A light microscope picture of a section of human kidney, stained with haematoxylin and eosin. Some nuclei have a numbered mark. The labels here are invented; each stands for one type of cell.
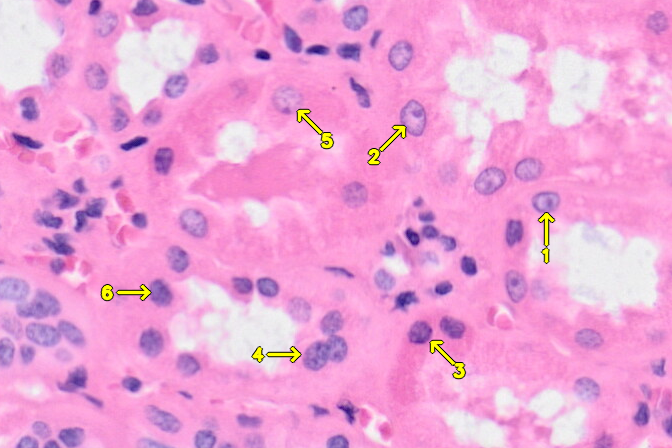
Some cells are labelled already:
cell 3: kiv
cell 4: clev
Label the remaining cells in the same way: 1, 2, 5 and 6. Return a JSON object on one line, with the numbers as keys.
{"1": "kiv", "2": "kiv", "5": "kiv", "6": "clev"}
